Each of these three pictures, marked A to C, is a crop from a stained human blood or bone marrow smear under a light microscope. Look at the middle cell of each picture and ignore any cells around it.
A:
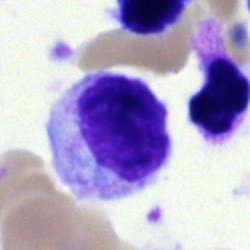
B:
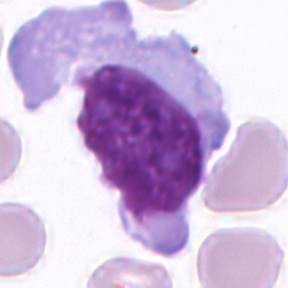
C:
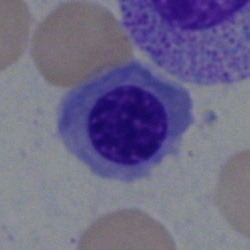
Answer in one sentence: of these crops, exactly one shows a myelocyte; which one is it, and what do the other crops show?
In crop A, the cell at the centre is a myelocyte, while crop B is a plasma cell and crop C is a normoblast.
